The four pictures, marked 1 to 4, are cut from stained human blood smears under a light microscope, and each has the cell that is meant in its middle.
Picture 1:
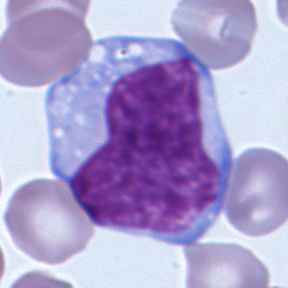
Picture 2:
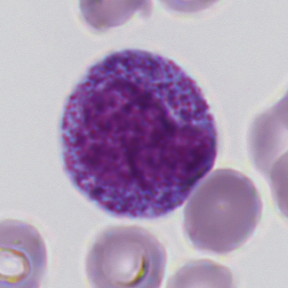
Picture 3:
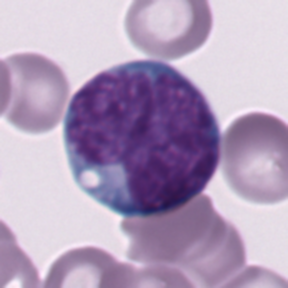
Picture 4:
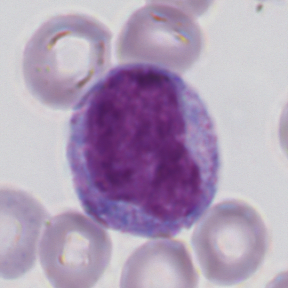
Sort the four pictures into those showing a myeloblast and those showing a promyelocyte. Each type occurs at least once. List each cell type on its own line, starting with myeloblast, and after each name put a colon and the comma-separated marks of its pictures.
myeloblast: 1, 3
promyelocyte: 2, 4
